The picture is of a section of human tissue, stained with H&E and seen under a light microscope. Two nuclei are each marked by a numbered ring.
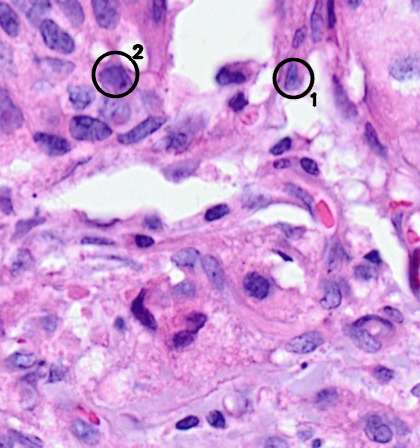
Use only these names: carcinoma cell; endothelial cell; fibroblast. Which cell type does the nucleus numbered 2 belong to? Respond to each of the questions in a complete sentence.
Cell 2, as marked in the section, is a carcinoma cell.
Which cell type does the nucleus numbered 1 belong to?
Cell number 1 in this section is an endothelial cell.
